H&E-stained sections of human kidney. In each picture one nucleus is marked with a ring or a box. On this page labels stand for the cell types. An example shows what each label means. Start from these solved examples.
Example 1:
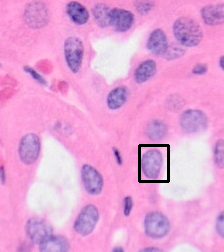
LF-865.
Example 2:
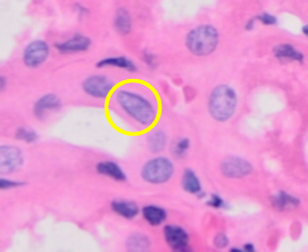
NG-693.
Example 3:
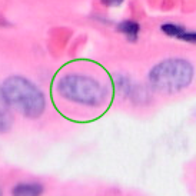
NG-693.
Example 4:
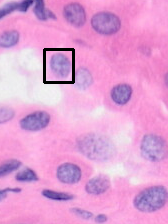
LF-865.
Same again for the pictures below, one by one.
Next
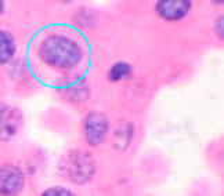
LF-865.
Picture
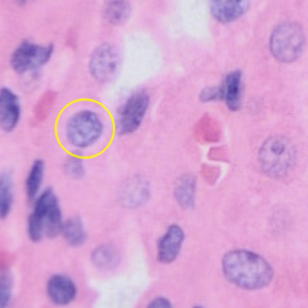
LF-865.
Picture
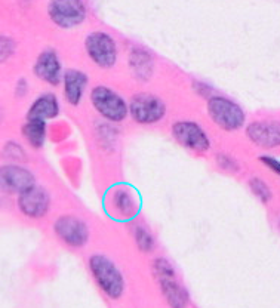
NG-693.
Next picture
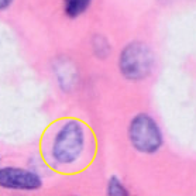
NG-693.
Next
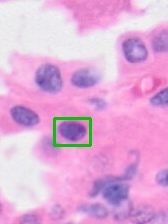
LF-865.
